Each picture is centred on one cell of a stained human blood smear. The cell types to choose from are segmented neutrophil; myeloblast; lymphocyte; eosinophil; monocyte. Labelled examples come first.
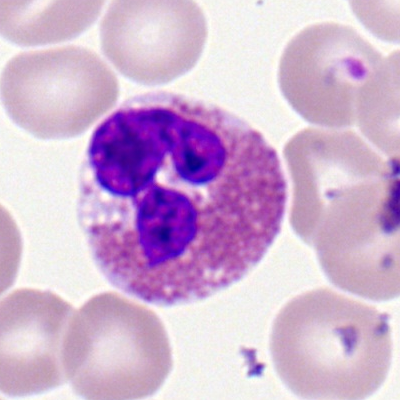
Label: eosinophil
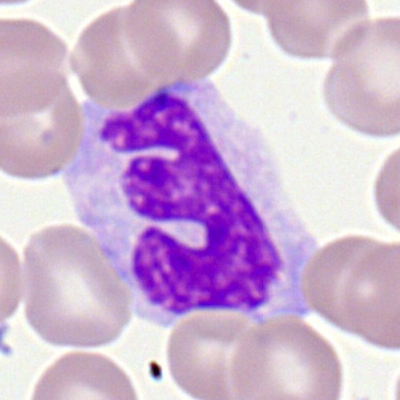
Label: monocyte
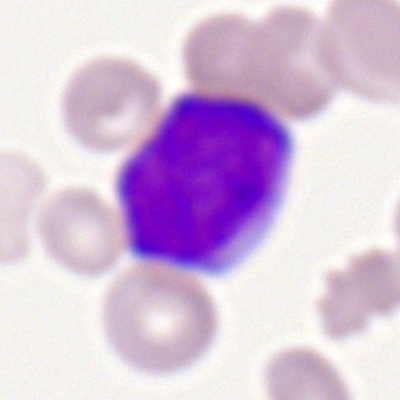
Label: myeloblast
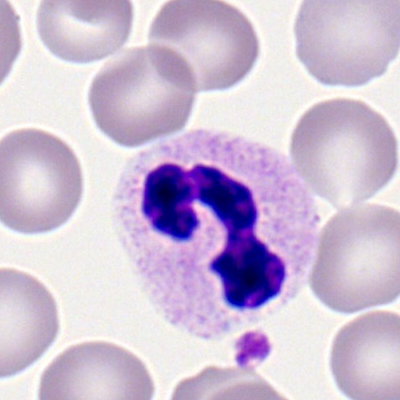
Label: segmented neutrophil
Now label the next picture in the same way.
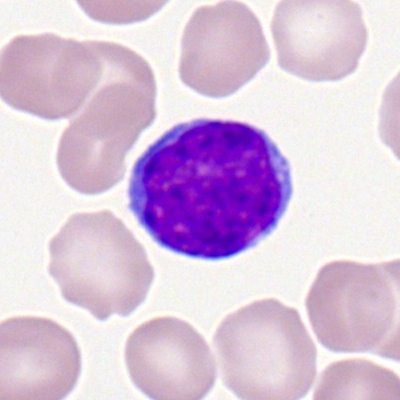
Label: lymphocyte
